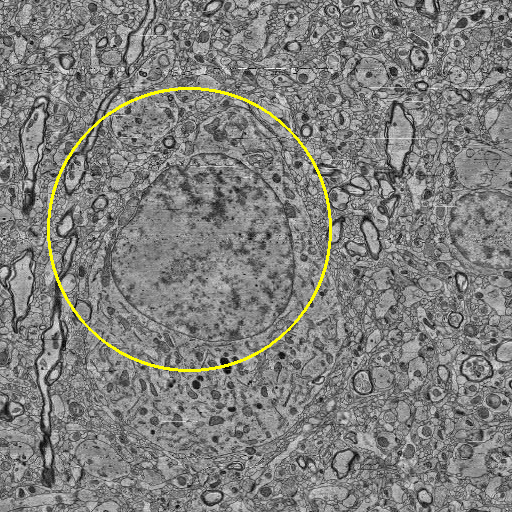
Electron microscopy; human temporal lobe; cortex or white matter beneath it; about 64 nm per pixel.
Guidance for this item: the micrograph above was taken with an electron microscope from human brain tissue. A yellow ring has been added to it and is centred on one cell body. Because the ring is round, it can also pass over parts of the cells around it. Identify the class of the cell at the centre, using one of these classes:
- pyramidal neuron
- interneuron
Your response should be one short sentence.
The ring surrounds the body of an interneuron.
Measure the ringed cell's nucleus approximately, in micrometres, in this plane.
Roughly 12 micrometres across, measured in this plane.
